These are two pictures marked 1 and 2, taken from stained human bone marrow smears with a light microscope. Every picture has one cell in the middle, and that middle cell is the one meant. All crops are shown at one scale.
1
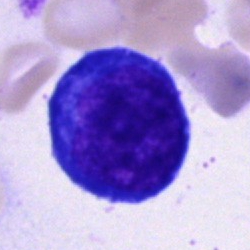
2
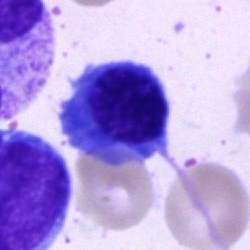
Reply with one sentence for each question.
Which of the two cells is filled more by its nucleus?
In crop 1 the nucleus takes up the larger part of its cell.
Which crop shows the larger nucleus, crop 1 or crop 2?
The nucleus in crop 1 is larger, with about 3 times the area of the one in crop 2.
